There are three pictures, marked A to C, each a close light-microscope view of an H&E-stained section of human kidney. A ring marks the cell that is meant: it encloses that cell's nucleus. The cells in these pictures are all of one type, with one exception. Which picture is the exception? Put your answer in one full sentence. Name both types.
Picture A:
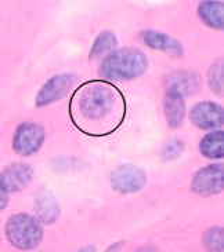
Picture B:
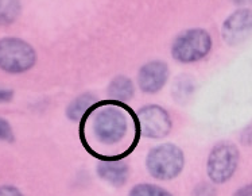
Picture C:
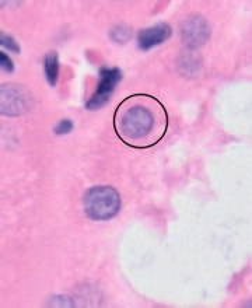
The others show collecting duct cells, but picture C shows a proximal tubule cell.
